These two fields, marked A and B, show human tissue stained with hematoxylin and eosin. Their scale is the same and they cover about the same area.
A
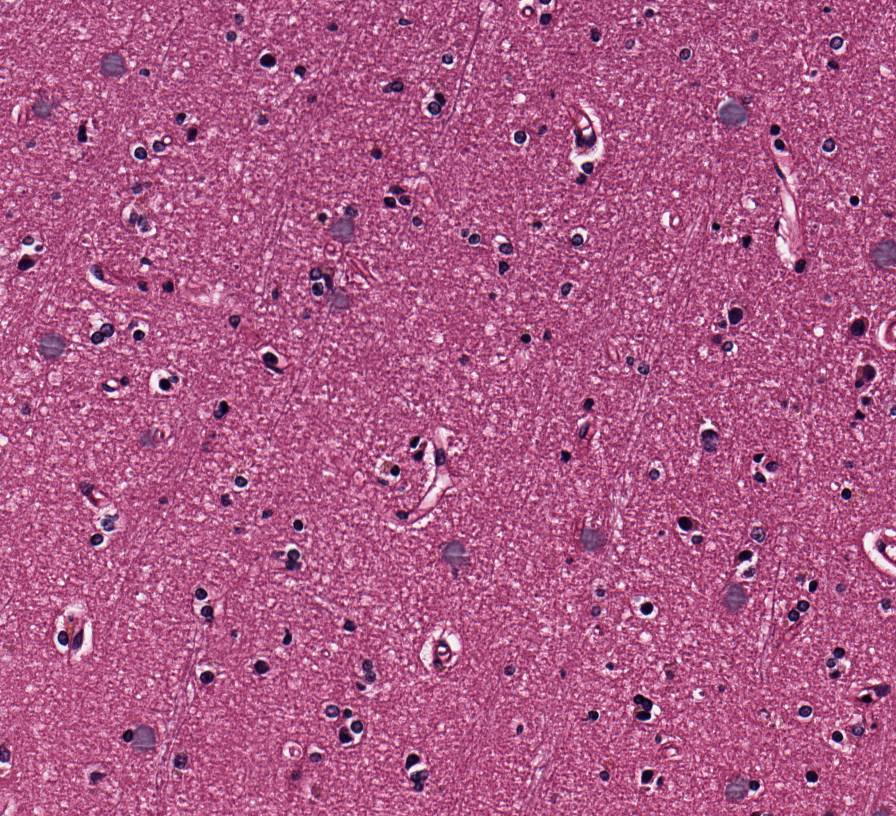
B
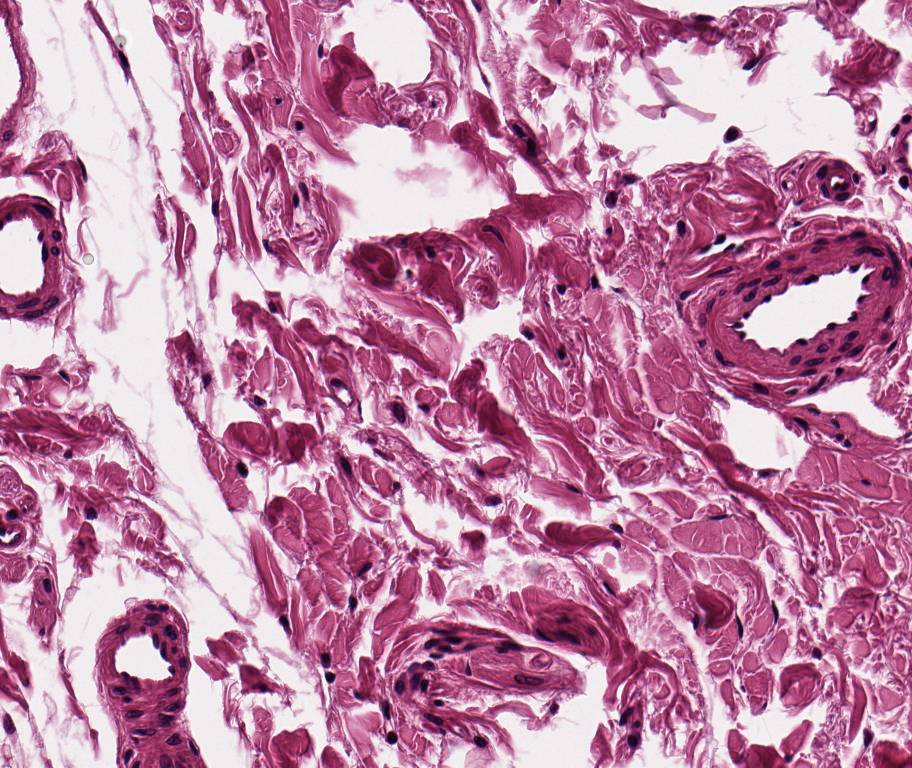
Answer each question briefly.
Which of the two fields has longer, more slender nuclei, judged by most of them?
B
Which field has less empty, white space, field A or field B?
A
